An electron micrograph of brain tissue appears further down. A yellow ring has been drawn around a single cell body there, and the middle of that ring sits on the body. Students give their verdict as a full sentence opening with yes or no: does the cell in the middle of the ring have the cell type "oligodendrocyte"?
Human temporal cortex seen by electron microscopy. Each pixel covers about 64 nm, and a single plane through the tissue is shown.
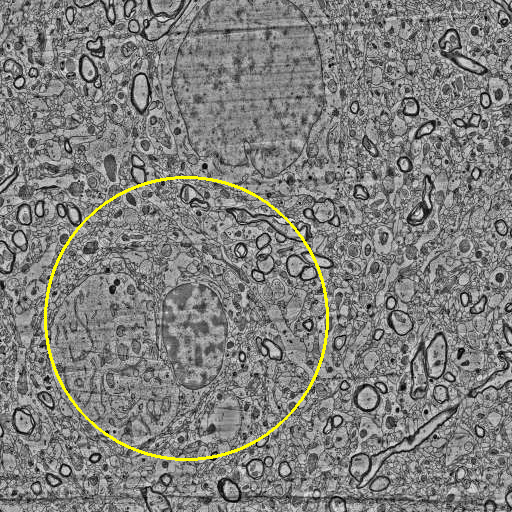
No, in this picture the cell sitting at the middle of the ring has a different cell type.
